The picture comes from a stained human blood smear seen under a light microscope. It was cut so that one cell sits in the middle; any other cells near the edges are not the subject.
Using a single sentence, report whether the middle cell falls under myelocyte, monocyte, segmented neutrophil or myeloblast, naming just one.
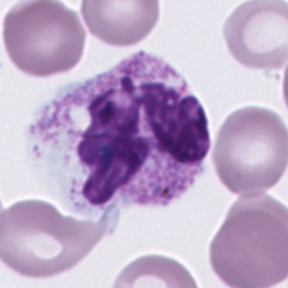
This particular crop is centered on a segmented neutrophil.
